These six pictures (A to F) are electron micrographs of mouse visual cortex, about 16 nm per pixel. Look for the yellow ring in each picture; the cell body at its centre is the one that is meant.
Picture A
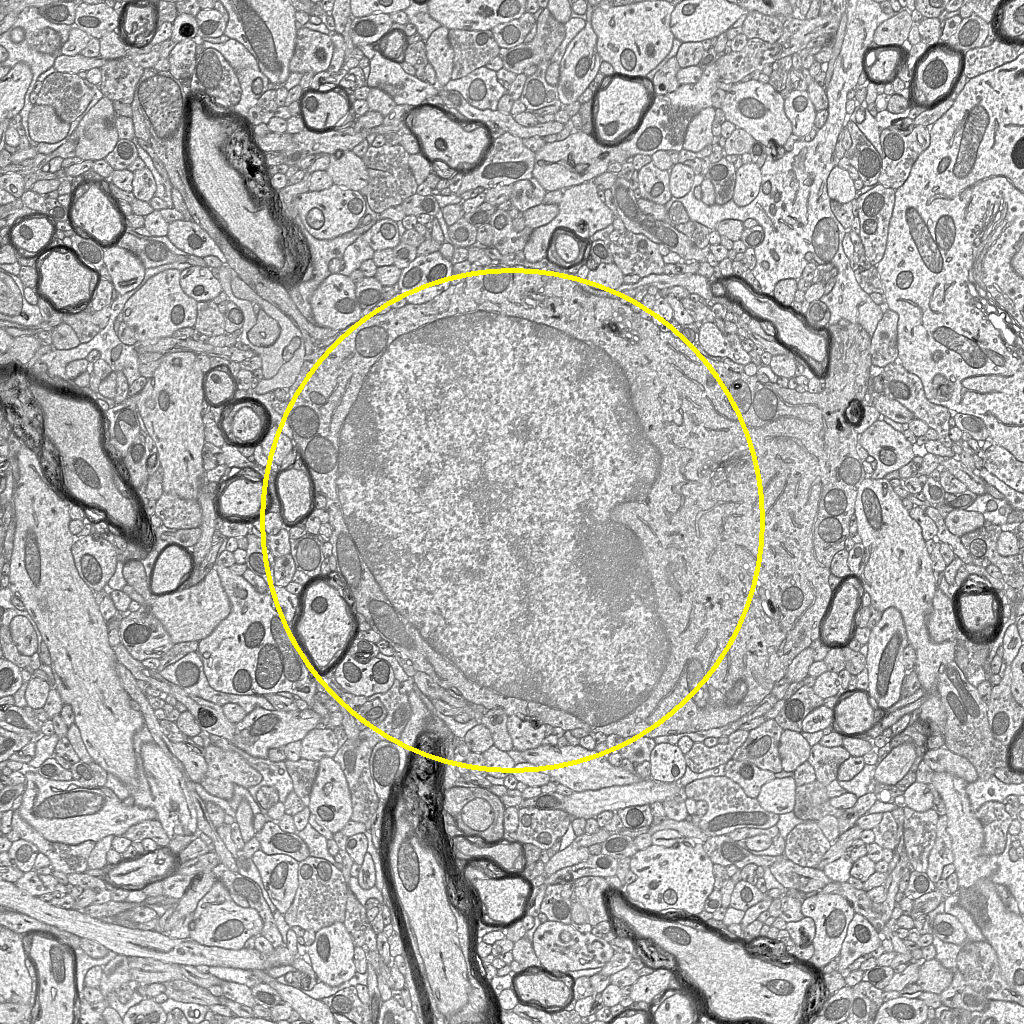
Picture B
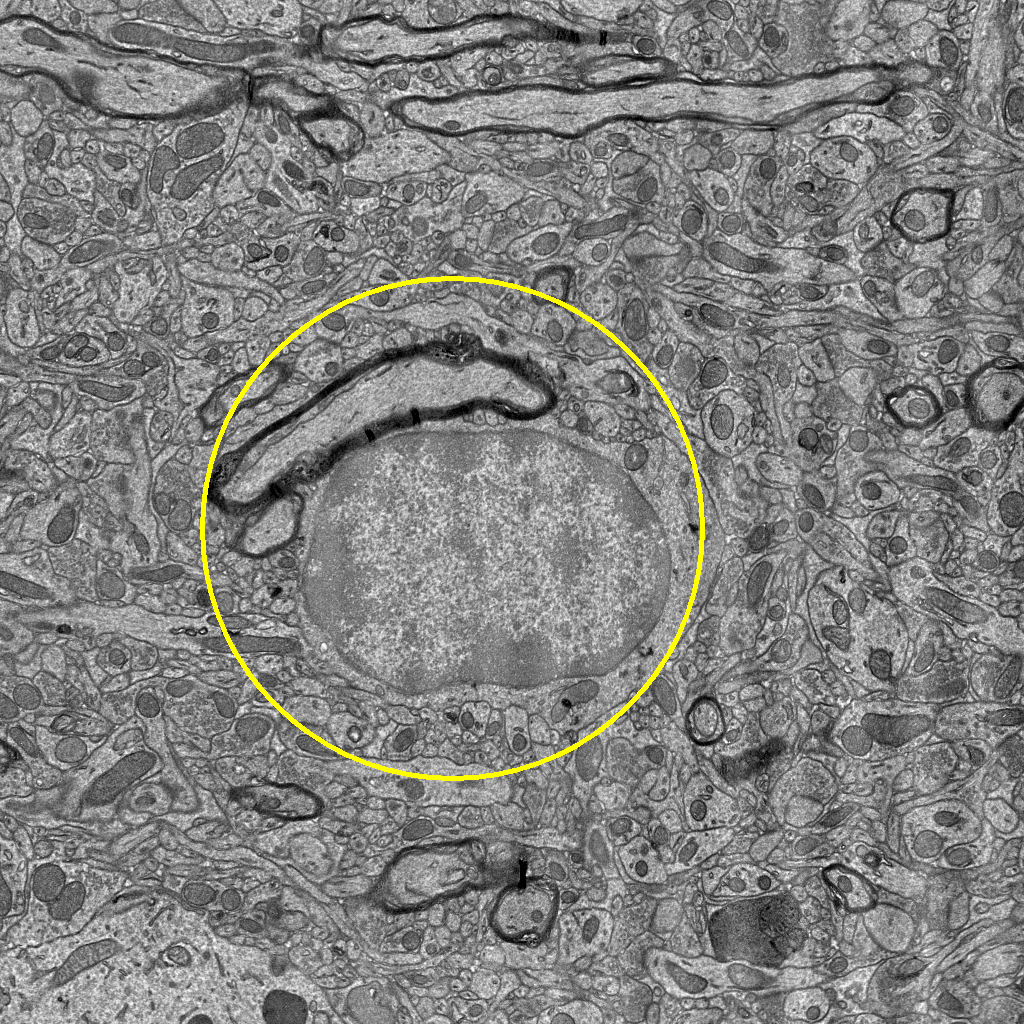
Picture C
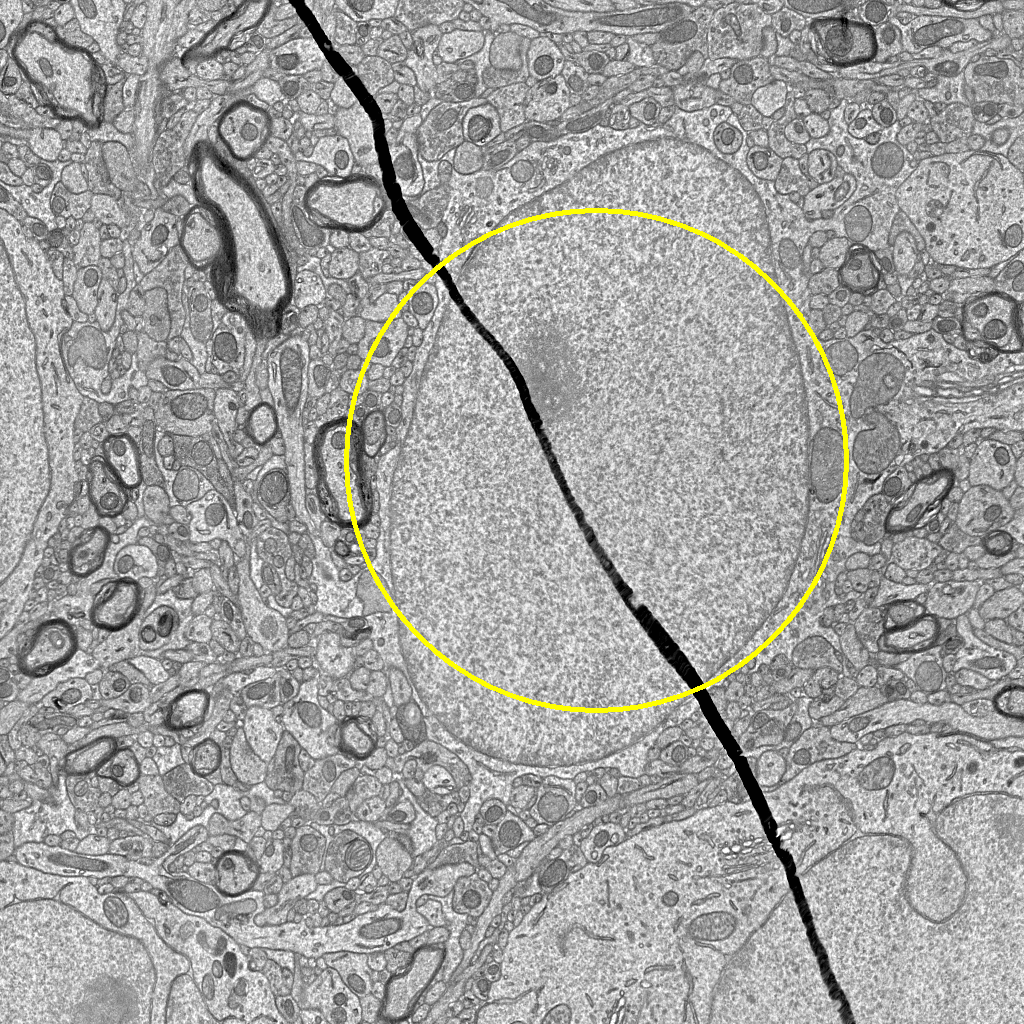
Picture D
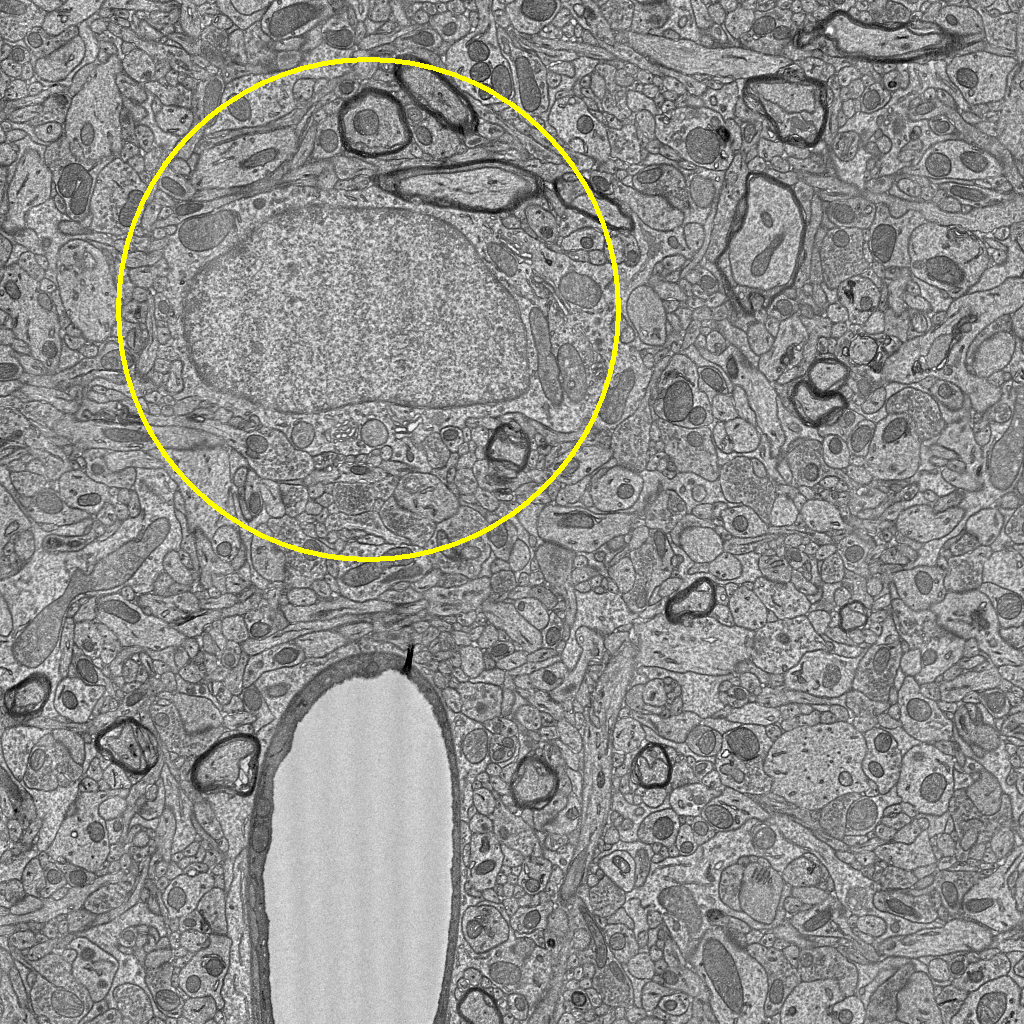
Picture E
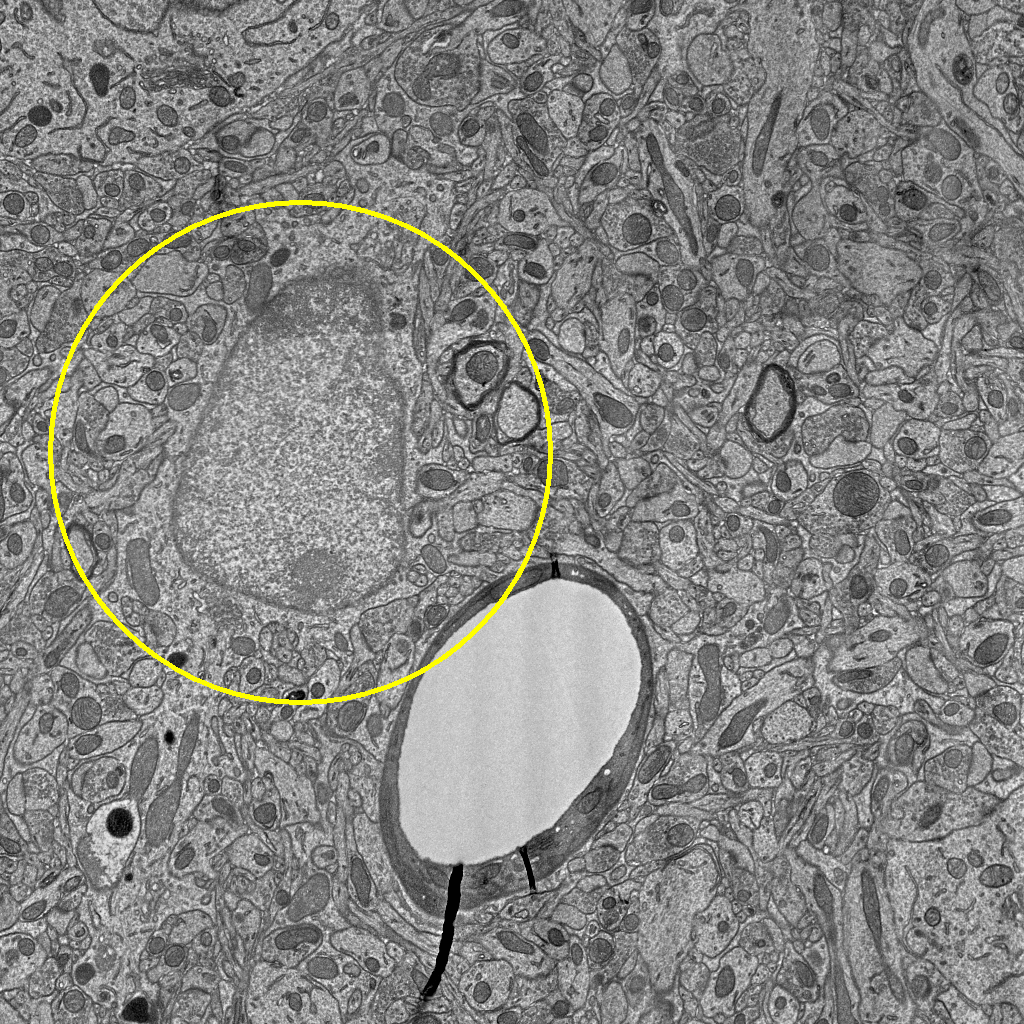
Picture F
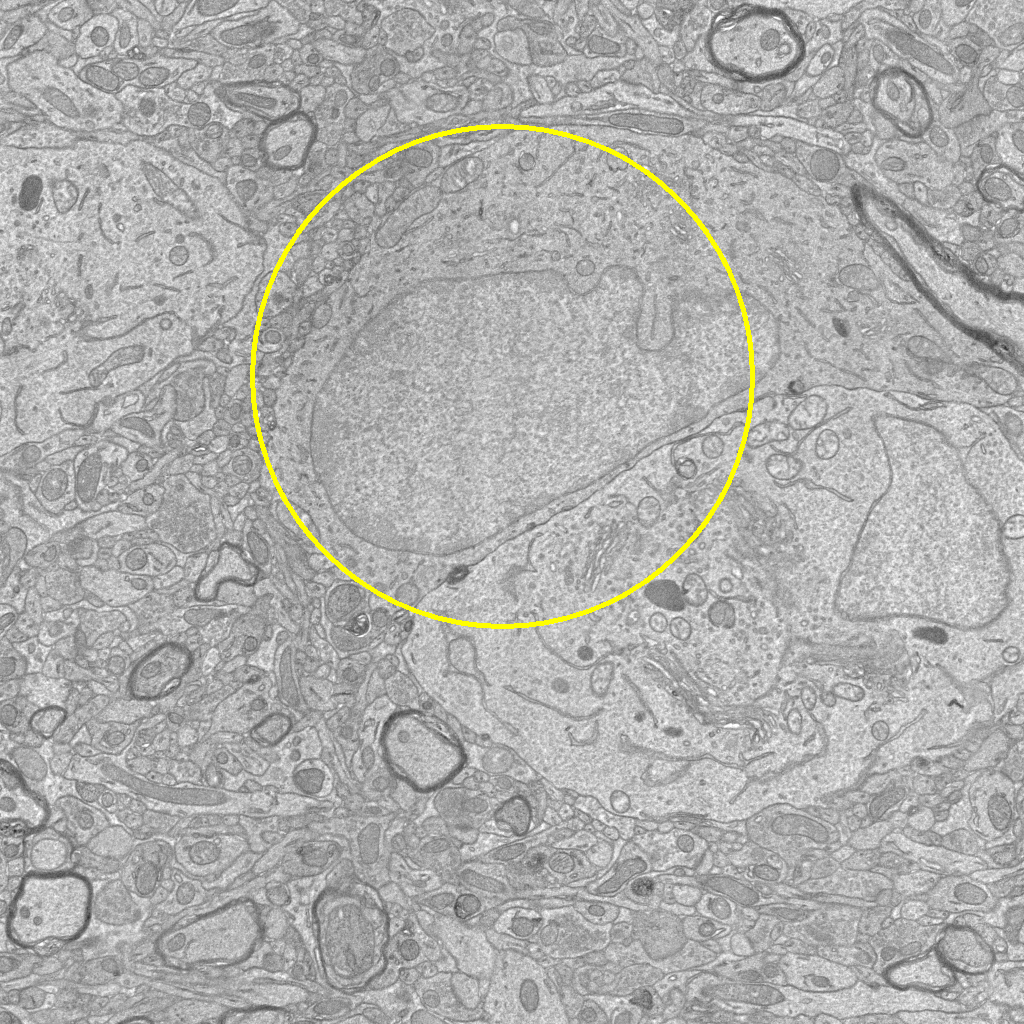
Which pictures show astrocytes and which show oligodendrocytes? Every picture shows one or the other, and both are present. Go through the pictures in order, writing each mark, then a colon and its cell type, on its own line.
A: oligodendrocyte
B: oligodendrocyte
C: astrocyte
D: astrocyte
E: astrocyte
F: oligodendrocyte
